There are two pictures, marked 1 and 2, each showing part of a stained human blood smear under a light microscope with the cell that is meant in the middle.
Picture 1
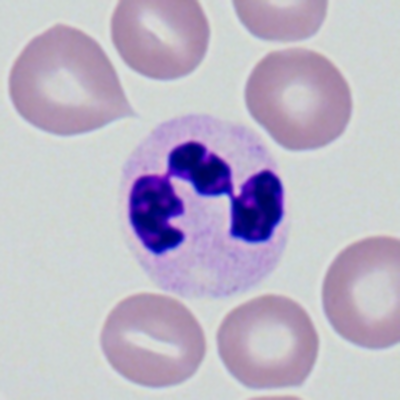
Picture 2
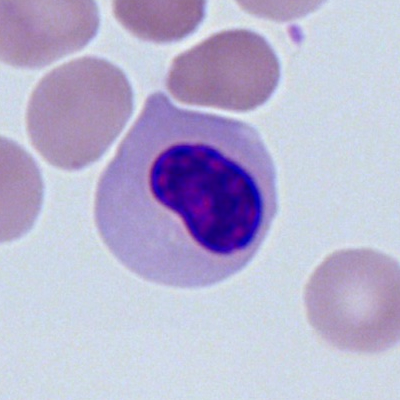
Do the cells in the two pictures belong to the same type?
no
